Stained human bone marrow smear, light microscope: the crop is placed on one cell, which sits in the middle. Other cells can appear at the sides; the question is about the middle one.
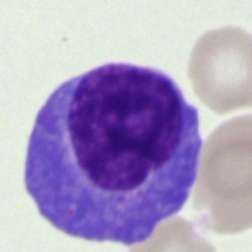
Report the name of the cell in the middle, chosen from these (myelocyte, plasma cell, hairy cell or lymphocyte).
plasma cell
